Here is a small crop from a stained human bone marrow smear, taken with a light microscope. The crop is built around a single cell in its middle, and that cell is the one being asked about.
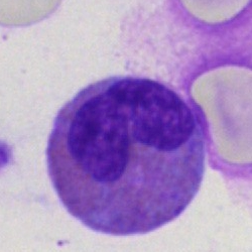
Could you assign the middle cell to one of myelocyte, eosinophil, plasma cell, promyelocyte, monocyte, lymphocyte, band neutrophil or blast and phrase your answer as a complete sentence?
The middle cell in this particular crop is an eosinophil.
